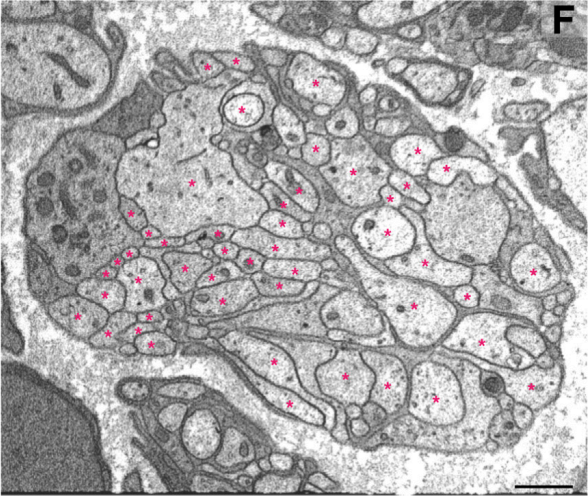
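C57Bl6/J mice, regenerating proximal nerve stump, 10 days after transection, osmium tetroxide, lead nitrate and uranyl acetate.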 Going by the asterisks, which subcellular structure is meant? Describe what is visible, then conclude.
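Many pale, irregularly shaped profiles are packed closely together. They are separated by thin, darker cytoplasmic strands. The profiles vary greatly in size and none is myelinated. That points to this answer: axonal sprouts.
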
